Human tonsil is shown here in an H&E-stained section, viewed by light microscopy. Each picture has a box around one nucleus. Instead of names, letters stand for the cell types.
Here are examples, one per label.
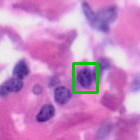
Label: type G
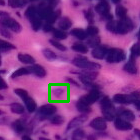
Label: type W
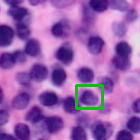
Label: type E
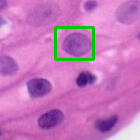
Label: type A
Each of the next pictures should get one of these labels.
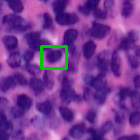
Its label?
type E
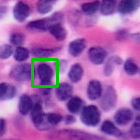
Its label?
type E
